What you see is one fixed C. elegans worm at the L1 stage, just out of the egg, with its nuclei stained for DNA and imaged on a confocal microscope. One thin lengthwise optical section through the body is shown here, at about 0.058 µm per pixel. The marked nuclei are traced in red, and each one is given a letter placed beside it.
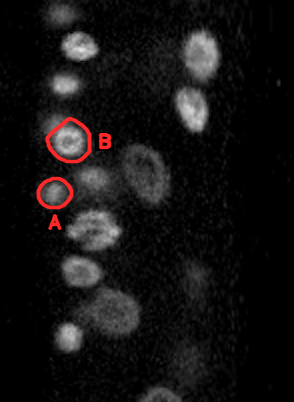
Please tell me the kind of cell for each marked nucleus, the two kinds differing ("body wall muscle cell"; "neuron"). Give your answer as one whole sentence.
B belongs to a body wall muscle cell, and A to a neuron.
